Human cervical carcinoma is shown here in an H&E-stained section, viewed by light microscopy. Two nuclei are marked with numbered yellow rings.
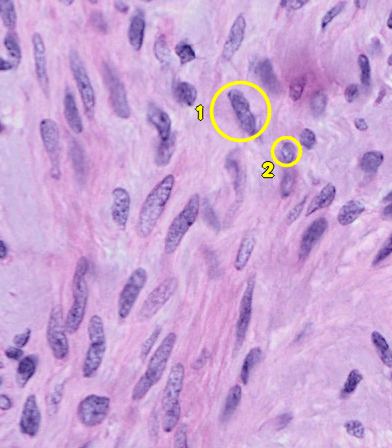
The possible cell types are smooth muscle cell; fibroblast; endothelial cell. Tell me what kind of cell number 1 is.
fibroblast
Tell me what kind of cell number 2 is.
smooth muscle cell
